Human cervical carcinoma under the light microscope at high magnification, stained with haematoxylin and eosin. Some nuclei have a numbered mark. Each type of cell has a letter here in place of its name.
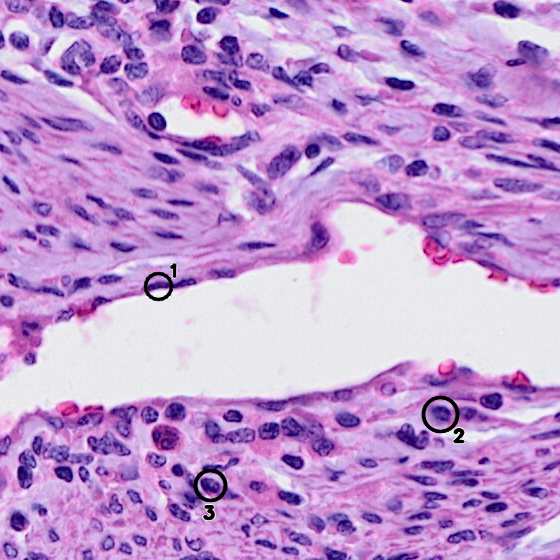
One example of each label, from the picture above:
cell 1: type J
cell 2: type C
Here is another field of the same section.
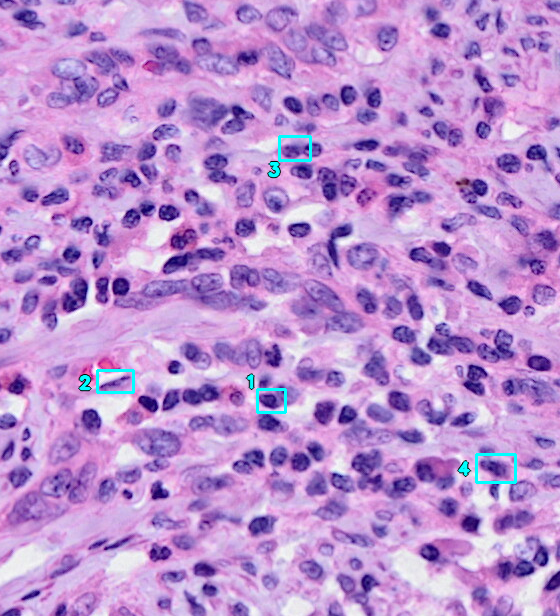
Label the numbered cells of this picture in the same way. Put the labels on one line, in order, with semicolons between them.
type C; type J; type C; type C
